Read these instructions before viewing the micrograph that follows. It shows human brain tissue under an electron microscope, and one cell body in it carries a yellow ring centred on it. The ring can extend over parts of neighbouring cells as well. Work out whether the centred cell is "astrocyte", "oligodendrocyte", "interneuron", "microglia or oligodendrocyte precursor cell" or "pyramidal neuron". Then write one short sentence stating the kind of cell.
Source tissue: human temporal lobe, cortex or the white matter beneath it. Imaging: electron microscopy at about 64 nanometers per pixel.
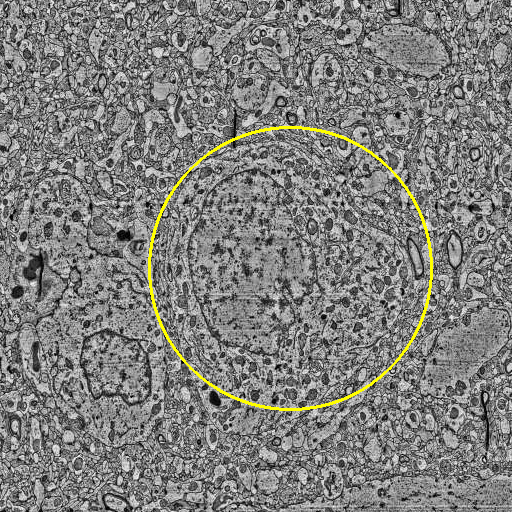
The ringed cell is an interneuron.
